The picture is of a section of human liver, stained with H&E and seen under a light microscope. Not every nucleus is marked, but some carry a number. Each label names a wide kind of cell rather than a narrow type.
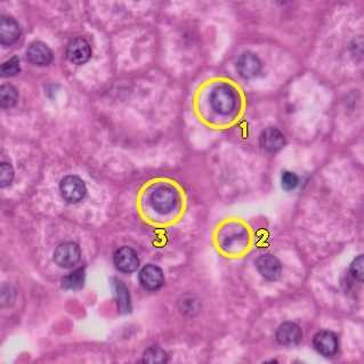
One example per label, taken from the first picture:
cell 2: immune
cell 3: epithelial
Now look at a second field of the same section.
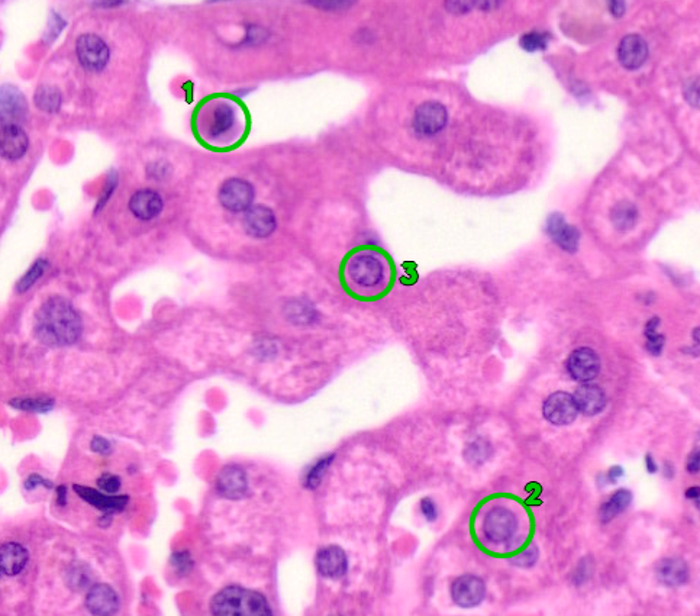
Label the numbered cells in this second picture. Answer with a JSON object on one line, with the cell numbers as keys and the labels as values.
{"1": "immune", "2": "epithelial", "3": "epithelial"}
